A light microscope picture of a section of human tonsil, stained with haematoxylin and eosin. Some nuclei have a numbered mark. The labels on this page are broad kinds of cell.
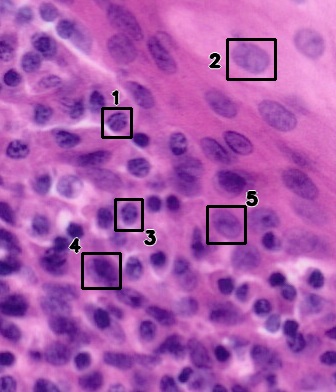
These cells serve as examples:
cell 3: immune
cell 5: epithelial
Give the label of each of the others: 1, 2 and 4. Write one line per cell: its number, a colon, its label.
1: immune
2: epithelial
4: epithelial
